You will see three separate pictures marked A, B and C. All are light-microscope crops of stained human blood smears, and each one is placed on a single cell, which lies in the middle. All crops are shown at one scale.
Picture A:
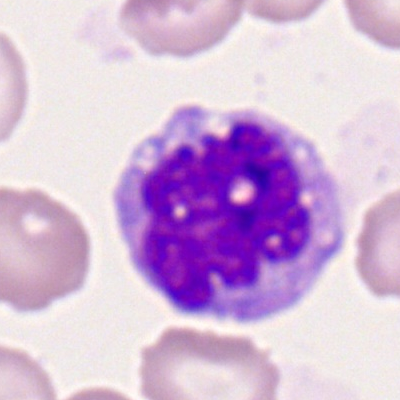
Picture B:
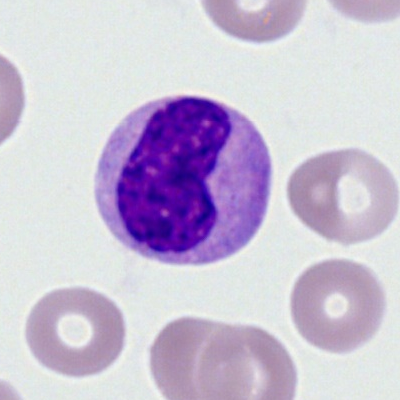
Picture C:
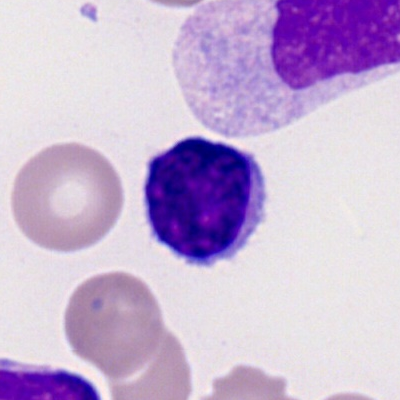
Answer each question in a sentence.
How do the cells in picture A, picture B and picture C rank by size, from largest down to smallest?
Going down, they run A, B, C.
